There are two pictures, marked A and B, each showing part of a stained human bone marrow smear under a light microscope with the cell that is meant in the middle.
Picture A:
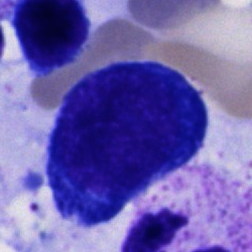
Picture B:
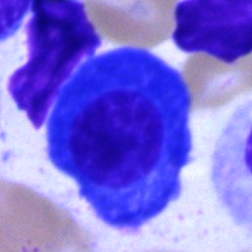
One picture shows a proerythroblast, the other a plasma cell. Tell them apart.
A: proerythroblast
B: plasma cell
